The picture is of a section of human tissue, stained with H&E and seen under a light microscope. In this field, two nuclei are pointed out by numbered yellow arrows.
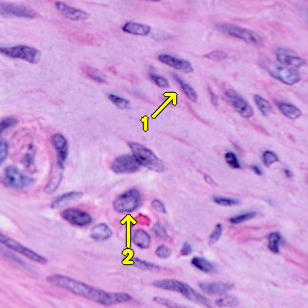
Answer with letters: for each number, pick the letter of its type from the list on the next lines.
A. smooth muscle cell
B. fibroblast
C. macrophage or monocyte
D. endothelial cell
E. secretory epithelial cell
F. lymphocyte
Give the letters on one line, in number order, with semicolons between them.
A; D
